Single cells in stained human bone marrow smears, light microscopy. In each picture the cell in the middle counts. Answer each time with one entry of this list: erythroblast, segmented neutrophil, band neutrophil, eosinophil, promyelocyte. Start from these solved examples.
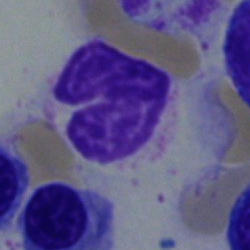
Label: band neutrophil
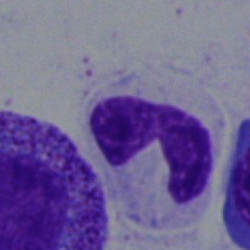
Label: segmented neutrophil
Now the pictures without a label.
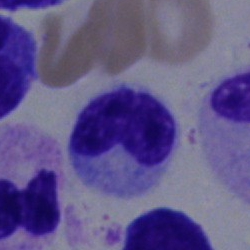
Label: band neutrophil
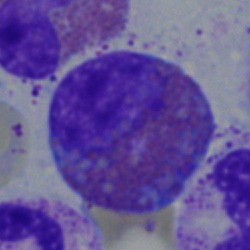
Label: eosinophil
